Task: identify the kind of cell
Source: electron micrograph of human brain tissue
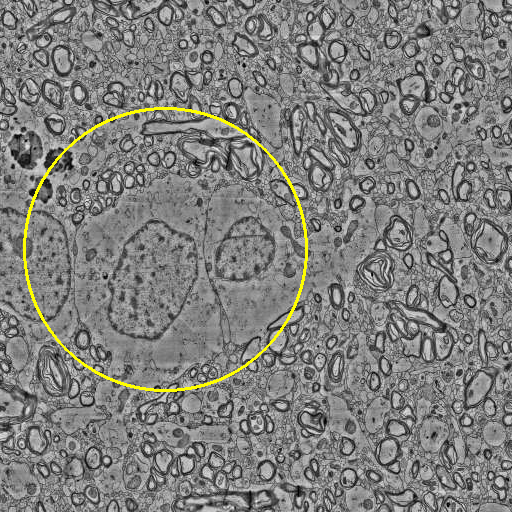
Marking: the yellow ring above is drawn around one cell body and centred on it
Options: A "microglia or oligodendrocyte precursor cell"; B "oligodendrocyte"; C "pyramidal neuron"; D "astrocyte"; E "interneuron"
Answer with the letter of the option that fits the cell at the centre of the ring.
D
